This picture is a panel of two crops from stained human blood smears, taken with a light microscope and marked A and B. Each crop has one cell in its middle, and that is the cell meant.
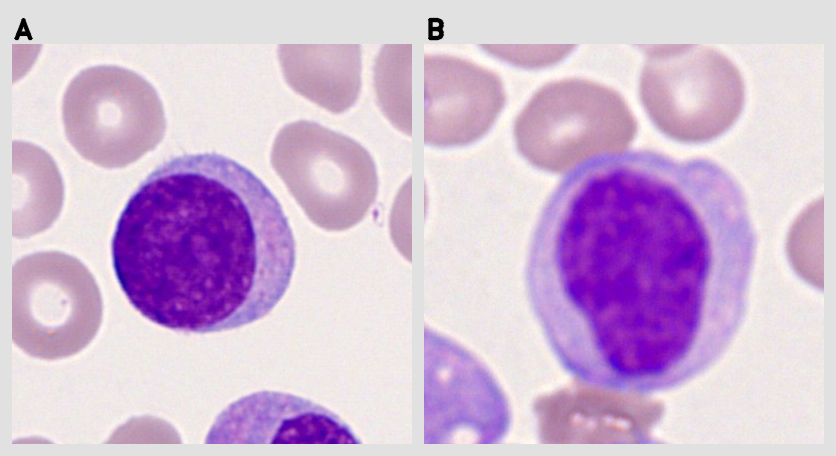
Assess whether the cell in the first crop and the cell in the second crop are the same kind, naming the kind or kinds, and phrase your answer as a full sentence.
No, a myeloblast is centred in crop A, and a monocyte is centred in crop B.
